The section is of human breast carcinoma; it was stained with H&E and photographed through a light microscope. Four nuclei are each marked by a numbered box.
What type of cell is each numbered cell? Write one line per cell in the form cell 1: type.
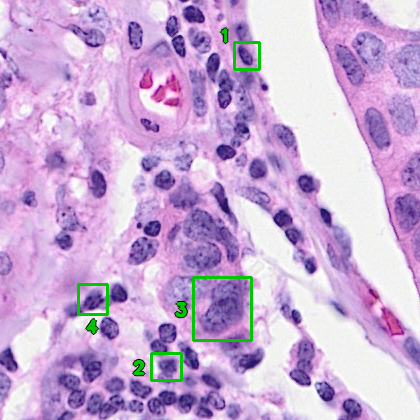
cell 1: lymphocyte
cell 2: lymphocyte
cell 3: carcinoma cell
cell 4: lymphocyte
